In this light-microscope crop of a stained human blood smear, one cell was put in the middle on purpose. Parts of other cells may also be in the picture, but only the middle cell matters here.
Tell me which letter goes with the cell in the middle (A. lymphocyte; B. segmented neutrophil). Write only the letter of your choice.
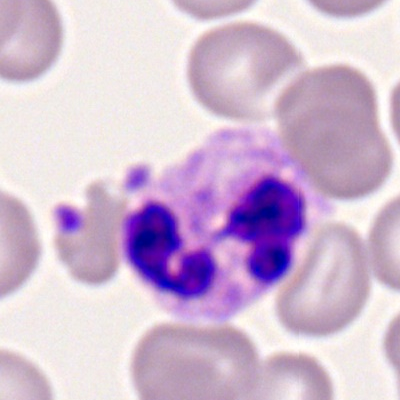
B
